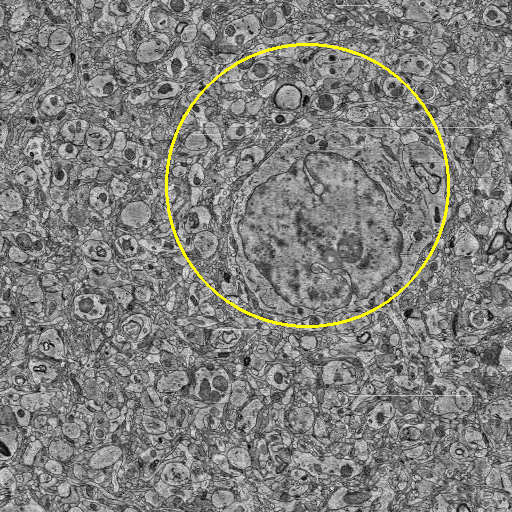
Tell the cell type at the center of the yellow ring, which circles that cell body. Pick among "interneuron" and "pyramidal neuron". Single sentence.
The ring is centered on the body of an interneuron.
